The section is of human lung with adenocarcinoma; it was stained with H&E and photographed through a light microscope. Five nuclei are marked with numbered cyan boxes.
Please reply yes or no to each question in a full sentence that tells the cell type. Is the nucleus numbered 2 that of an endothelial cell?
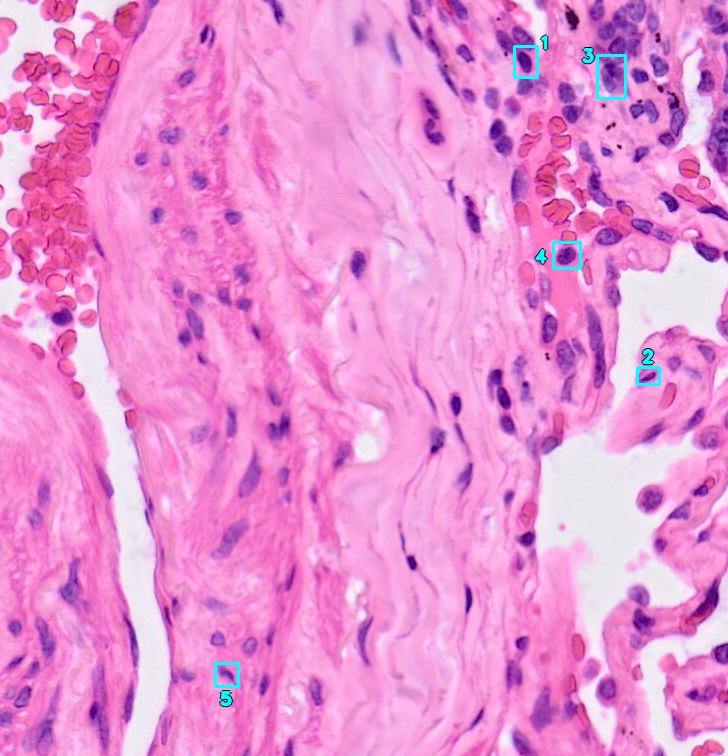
Yes, it is an endothelial cell that carries the number 2.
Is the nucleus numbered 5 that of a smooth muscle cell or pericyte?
Yes, that one, number 5, is a smooth muscle cell or pericyte.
